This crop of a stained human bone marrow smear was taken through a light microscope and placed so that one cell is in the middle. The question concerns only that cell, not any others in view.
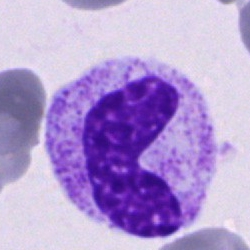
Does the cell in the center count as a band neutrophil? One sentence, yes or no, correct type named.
Yes, the cell in the center of this crop is a band neutrophil.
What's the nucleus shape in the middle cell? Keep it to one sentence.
Between us, the nucleus here is just one compact mass, round, oval or kidney-shaped.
